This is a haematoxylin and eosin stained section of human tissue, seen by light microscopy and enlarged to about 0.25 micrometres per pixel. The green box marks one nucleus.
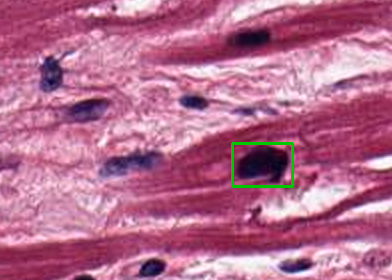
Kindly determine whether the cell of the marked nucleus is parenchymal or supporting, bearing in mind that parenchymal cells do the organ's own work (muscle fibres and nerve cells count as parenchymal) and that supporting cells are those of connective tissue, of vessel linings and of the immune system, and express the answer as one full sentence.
The marked nucleus is located in a parenchymal cell, namely a cardiomyocyte.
